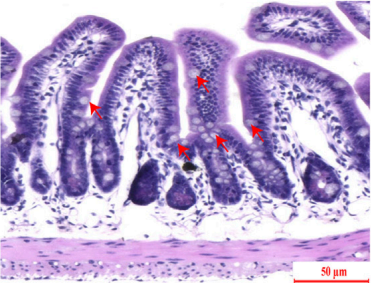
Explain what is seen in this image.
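Mucosal folds covered by a single layer of columnar epithelial cells with dark purple nuclei carry numerous pale, rounded, clear cells within the lining. Cellular lamina propria fills the cores, crypts lie near the base, and a pink muscular layer lies beneath. The clear cells scattered in the epithelium are goblet cells.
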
